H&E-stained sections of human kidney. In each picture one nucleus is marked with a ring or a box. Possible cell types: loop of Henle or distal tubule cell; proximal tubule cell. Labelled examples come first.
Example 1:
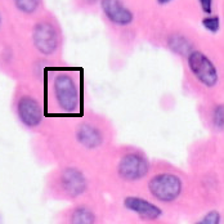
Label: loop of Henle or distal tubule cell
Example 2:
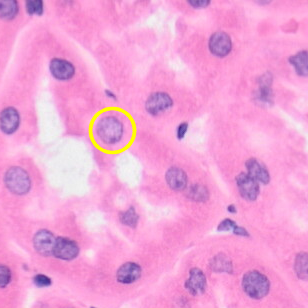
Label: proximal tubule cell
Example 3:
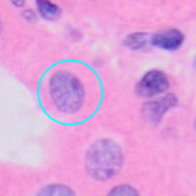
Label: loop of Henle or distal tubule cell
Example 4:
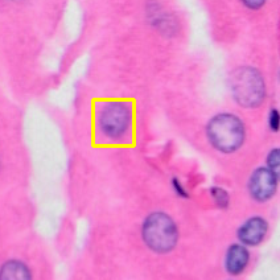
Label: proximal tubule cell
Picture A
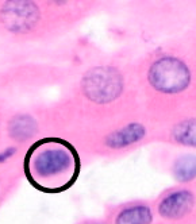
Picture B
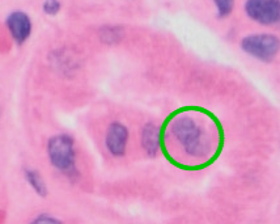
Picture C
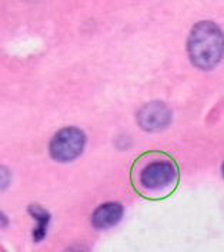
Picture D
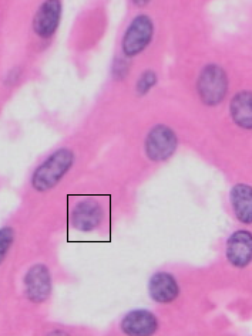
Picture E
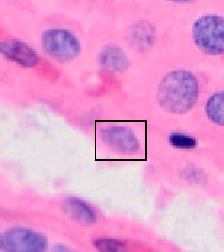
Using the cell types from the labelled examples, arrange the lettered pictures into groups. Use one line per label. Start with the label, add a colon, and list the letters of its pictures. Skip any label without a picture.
loop of Henle or distal tubule cell: A, C, D, E
proximal tubule cell: B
